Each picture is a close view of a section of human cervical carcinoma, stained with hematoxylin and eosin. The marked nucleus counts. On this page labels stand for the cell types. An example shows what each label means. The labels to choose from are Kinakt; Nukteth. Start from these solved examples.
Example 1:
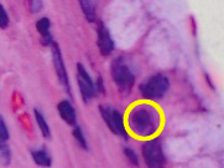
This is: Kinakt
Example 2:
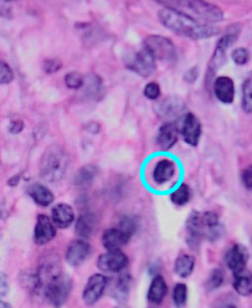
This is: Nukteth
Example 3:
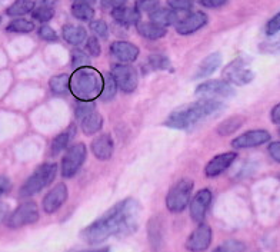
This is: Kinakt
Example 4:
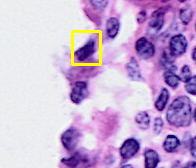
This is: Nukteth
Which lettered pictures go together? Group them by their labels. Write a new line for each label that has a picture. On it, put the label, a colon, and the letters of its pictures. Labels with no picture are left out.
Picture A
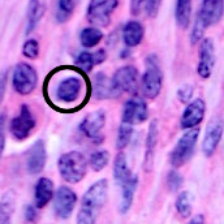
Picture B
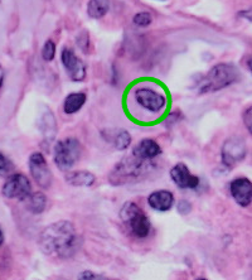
Nukteth: A, B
